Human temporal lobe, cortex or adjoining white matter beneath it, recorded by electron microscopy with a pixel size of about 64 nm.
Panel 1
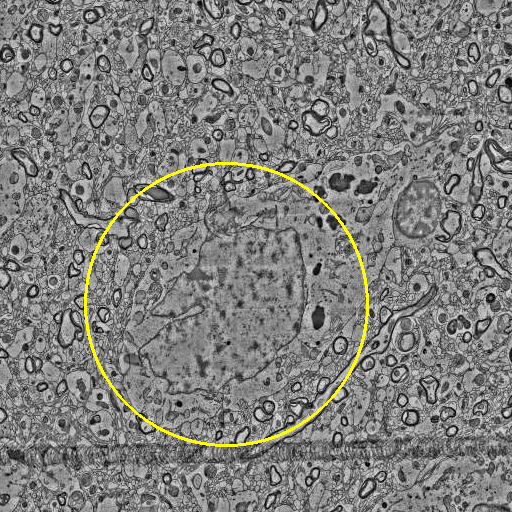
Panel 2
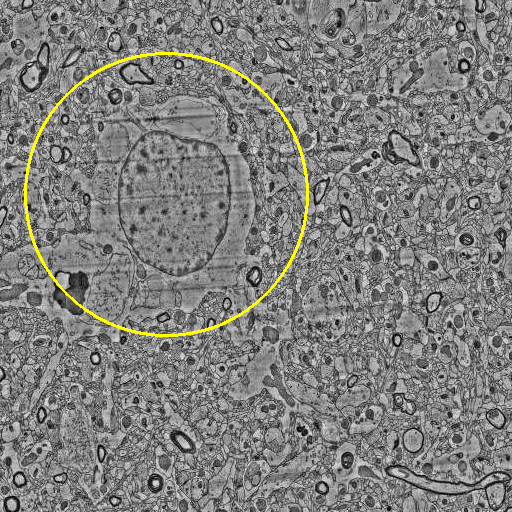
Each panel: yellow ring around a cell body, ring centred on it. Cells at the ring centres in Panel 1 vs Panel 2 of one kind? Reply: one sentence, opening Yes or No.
No, Panel 1 and Panel 2 have cells of two kinds at the ring centres.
